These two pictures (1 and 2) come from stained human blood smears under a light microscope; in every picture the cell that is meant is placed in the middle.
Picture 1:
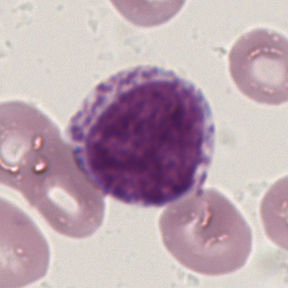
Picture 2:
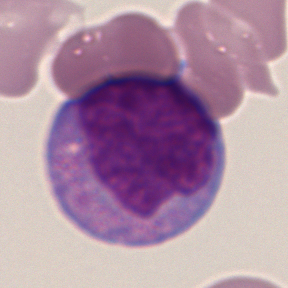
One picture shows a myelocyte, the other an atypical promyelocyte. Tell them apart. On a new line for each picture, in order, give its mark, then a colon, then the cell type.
1: myelocyte
2: atypical promyelocyte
